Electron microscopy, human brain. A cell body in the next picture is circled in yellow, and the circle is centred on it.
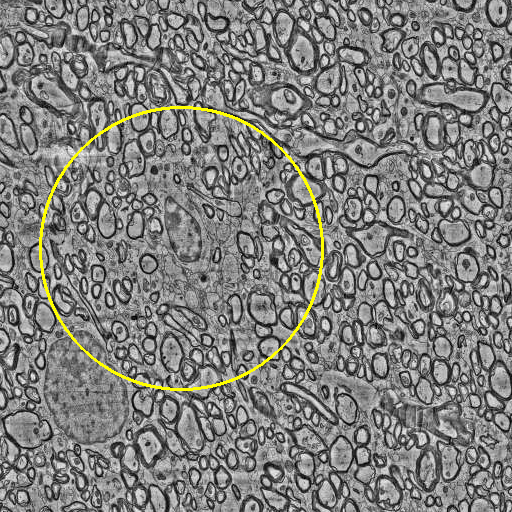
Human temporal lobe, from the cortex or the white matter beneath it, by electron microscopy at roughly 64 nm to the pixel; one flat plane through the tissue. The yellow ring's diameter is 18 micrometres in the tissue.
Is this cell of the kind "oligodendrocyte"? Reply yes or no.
no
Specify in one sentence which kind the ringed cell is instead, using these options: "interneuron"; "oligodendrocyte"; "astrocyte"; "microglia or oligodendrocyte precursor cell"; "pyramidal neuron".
Instead, the cell inside the ring is a microglial cell or oligodendrocyte precursor cell.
